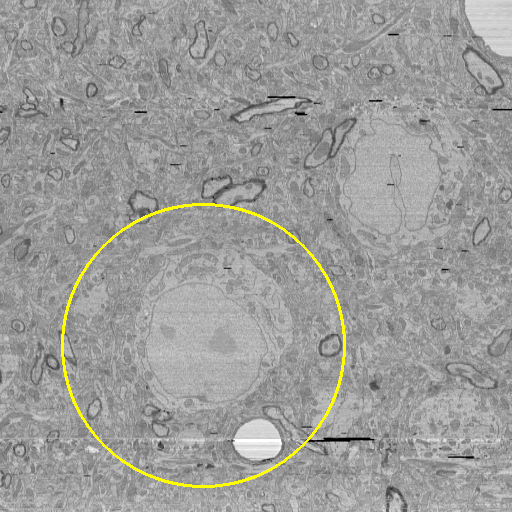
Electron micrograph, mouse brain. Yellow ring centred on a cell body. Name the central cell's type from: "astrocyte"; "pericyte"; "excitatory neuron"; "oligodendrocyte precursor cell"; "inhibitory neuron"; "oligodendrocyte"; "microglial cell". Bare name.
excitatory neuron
